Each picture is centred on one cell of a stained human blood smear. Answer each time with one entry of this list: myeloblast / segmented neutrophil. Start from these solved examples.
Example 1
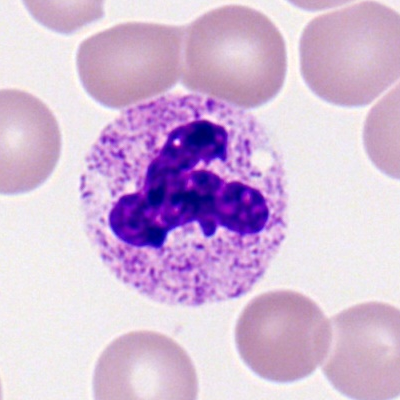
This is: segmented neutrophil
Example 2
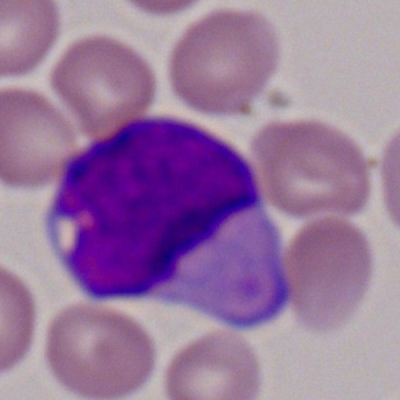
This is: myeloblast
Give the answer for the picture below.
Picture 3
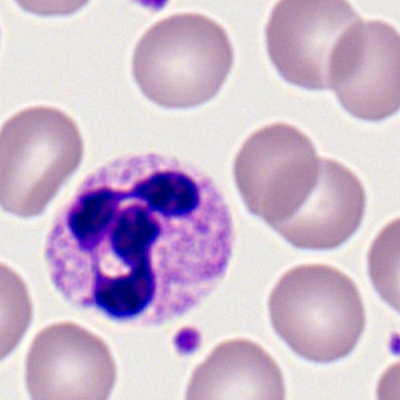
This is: segmented neutrophil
